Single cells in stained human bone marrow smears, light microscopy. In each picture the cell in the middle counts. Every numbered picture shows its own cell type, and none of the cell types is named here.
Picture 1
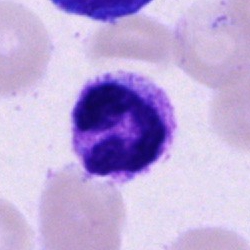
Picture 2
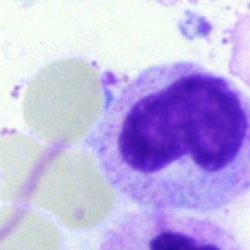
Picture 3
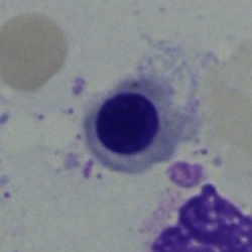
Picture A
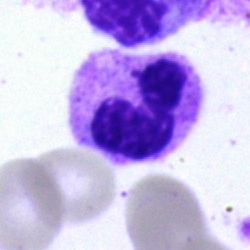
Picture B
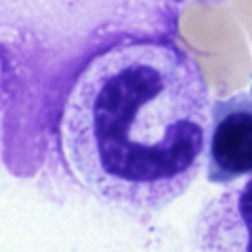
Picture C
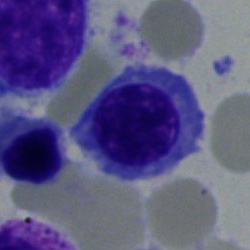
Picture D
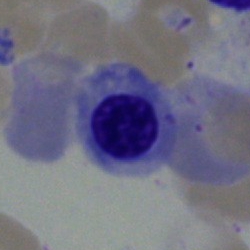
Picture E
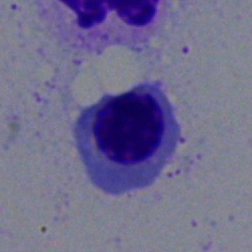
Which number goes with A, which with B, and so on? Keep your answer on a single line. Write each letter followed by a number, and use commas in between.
A 1, B 2, C 3, D 3, E 3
